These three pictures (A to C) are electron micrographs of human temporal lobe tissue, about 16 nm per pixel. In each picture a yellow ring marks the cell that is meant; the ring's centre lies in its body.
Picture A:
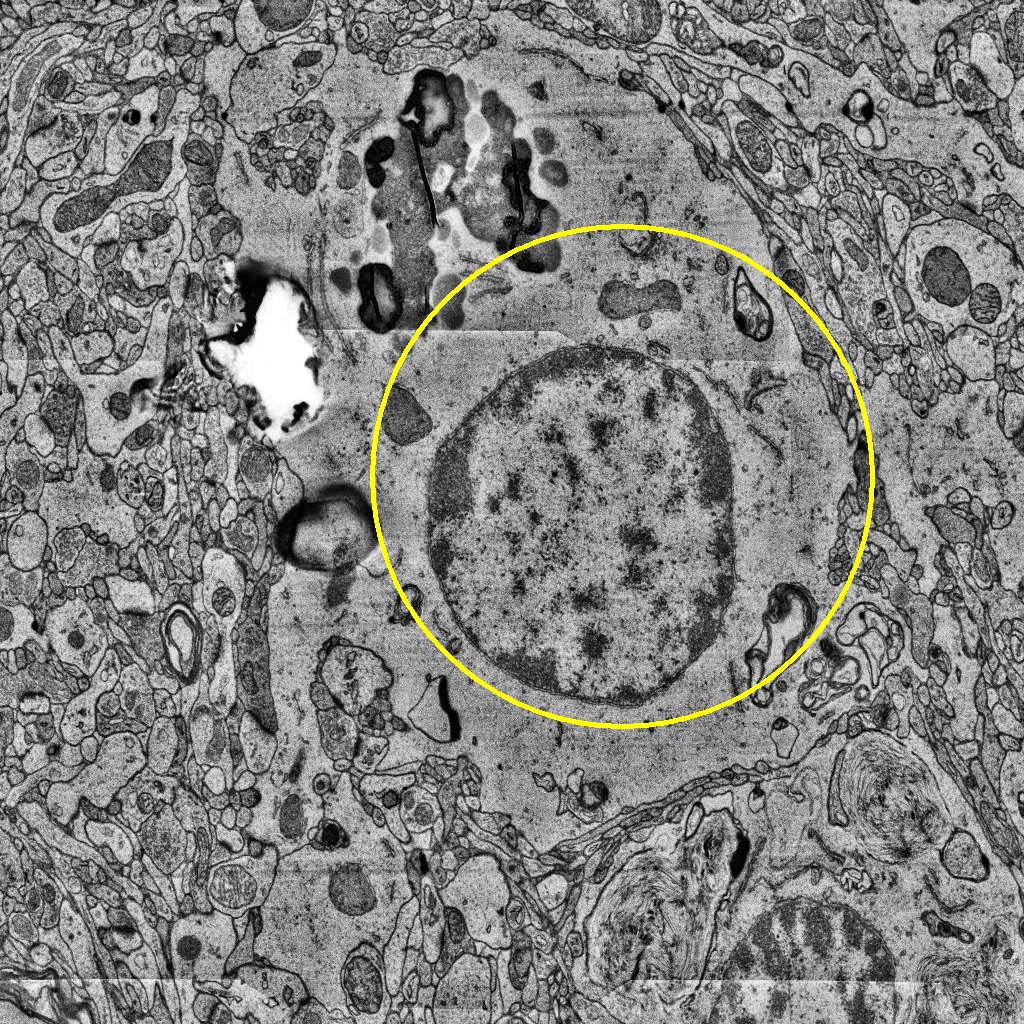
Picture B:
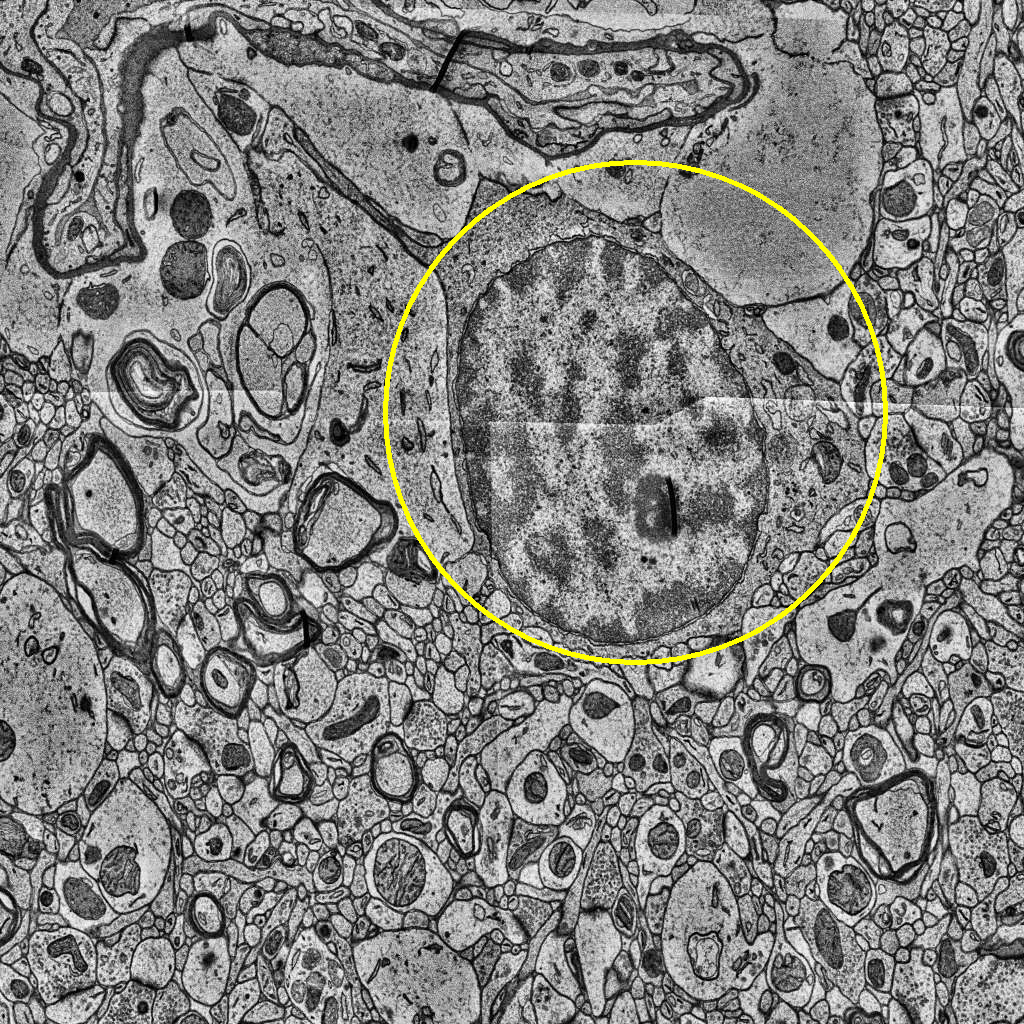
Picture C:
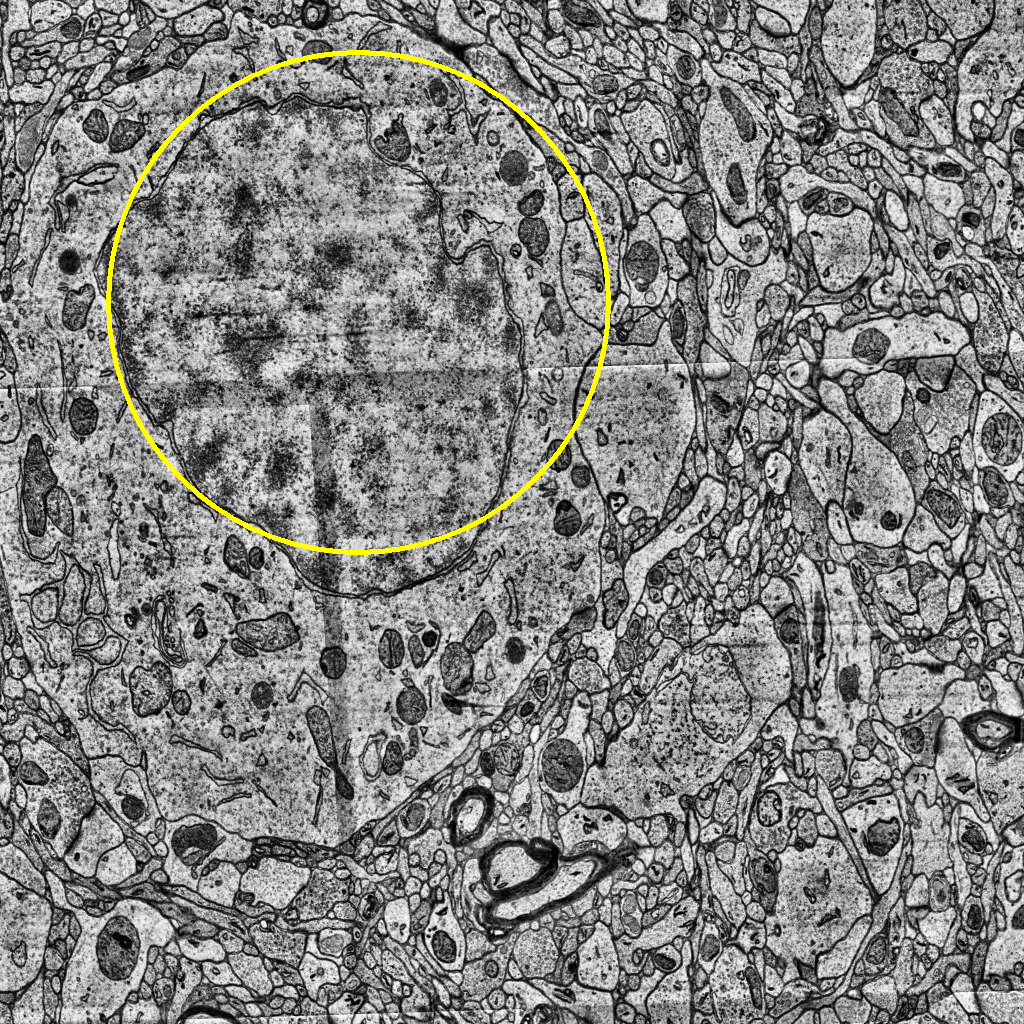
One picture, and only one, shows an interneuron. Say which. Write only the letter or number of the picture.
C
